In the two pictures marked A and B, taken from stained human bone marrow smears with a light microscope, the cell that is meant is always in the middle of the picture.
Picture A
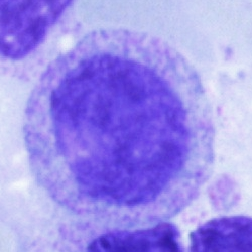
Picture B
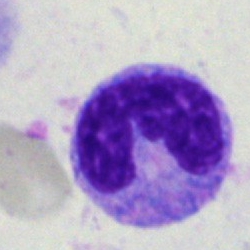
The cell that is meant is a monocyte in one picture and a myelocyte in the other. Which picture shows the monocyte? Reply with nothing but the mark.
B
